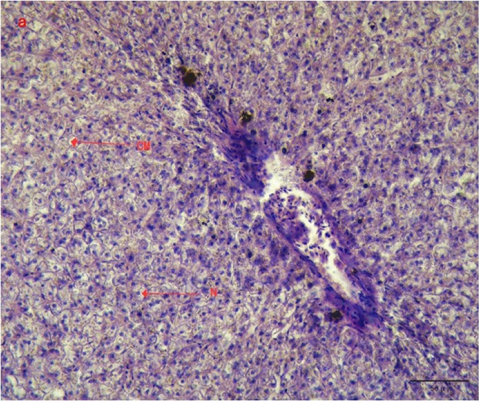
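This is liver parenchyma made of densely packed, polygonal hepatocytes. Their cytoplasm is stained purple and each has a small, round, dark nucleus, mostly placed centrally. The cells form continuous sheets with little clear space between them, and cell borders can be made out as faint lines. A vessel runs diagonally through the centre of the field. Its lumen holds blood cells, and it is bordered by more darkly stained, crowded cells. A few dark brown-black pigment clumps lie scattered in the tissue near the vessel. No large clear vacuoles are seen in the hepatocytes.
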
